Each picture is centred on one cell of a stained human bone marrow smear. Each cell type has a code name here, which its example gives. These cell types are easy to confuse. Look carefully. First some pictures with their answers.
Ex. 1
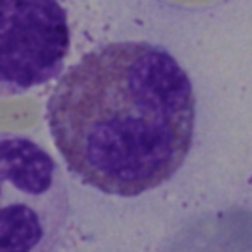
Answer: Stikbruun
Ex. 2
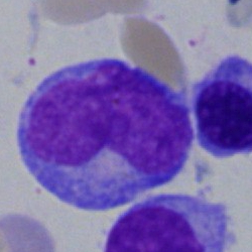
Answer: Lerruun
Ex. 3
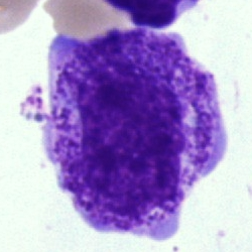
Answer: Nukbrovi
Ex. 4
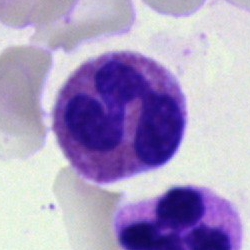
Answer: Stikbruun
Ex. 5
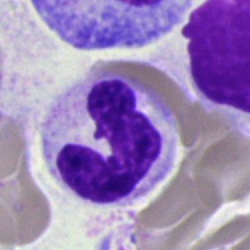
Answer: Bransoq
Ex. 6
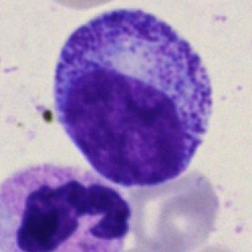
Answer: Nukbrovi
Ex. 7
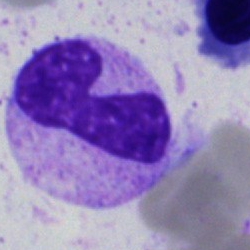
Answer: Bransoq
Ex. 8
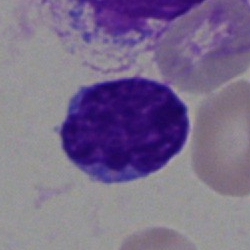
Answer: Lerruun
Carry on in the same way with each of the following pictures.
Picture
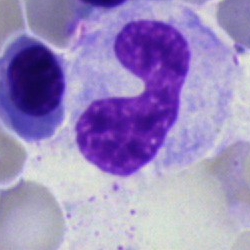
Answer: Bransoq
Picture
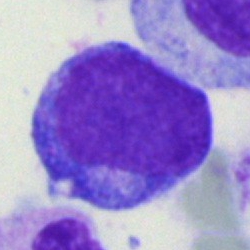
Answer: Lerruun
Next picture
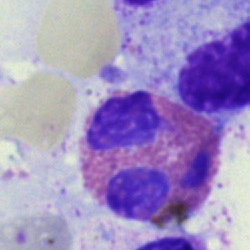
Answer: Stikbruun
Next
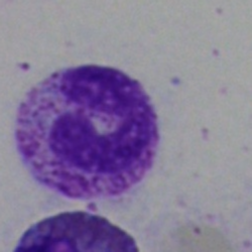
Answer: Bransoq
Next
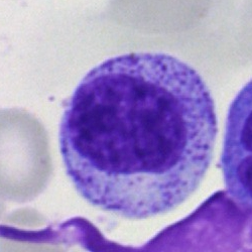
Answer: Nukbrovi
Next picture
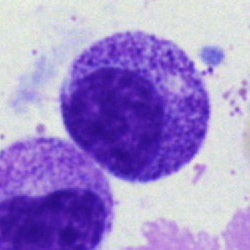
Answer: Nukbrovi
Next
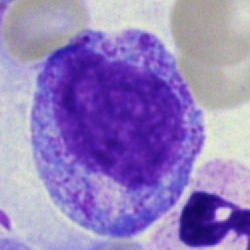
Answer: Nukbrovi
